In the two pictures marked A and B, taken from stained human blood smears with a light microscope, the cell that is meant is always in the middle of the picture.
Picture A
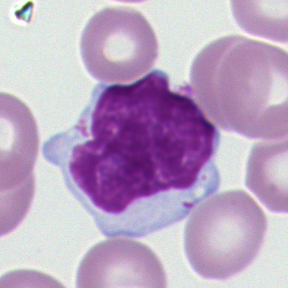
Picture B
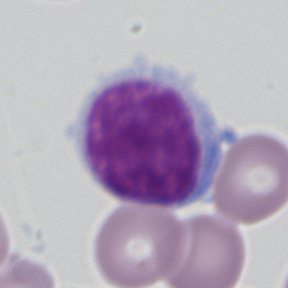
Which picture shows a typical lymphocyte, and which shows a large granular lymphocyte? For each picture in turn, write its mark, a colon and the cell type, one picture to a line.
A: large granular lymphocyte
B: typical lymphocyte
